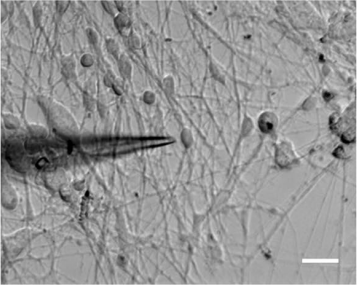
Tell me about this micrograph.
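This is a phase-contrast view of cultured neurons spread out as a monolayer with a dense meshwork of processes. A dark, tapering glass pipette enters from the left, and its tip rests on a small cell body. The cell bodies are small, oval to spindle-shaped and smooth, and most give off one or two thin processes. Long, fine processes run in many directions and cross one another across the whole field. Scattered at the edges are dark, rounded, highly refractile bodies, which are probably rounded or dying cells or debris.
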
